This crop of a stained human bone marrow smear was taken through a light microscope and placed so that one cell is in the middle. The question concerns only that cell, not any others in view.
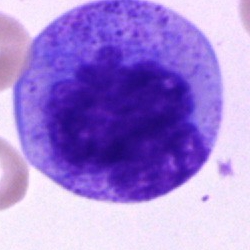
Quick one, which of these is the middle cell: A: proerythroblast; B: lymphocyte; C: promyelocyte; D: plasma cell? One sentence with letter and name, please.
Option C is the correct option, with the middle cell being a promyelocyte.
